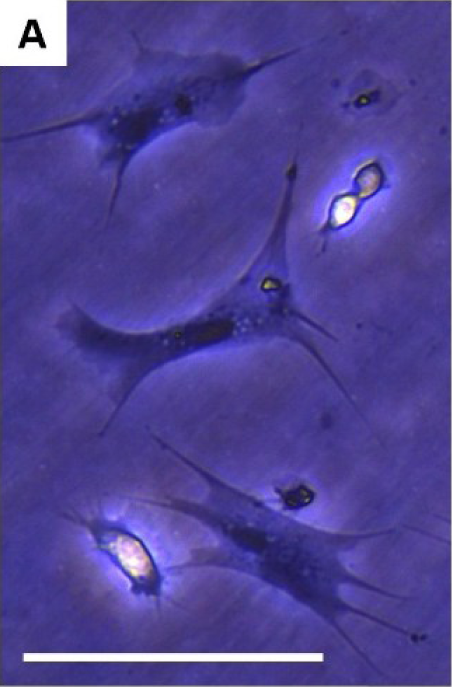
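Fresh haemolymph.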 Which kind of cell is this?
Hyalinocyte-like haemocytes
